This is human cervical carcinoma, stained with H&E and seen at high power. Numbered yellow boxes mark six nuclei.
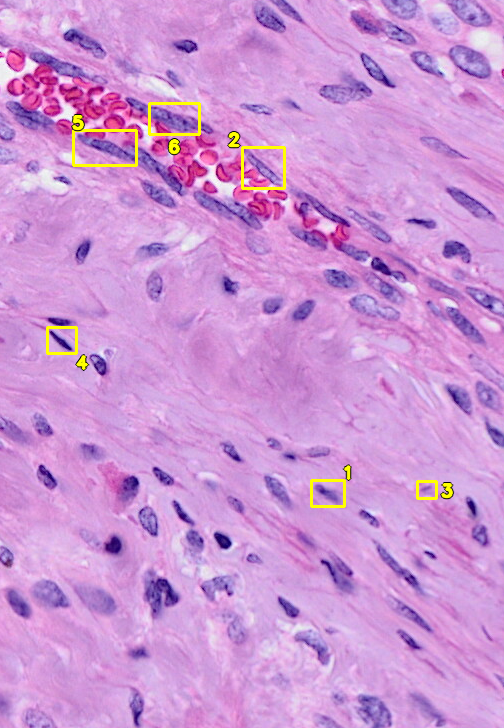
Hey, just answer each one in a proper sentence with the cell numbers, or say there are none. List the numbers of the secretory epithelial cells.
Between them, the numbered cells include no secretory epithelial cells.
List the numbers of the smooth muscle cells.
Among the cells marked with numbers, the only one that is a smooth muscle cell is number 3.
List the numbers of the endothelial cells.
Cells 2, 5 and 6 in the section are typed as endothelial cells.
